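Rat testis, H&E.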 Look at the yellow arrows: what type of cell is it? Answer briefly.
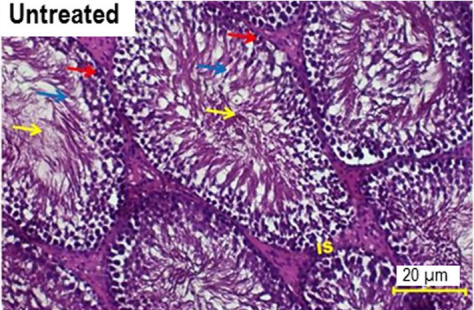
Spermatozoa.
